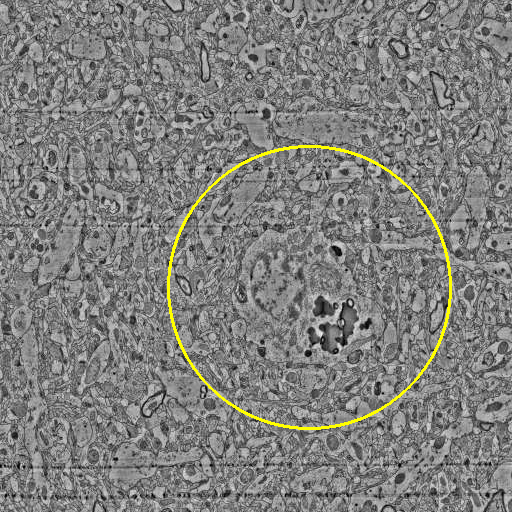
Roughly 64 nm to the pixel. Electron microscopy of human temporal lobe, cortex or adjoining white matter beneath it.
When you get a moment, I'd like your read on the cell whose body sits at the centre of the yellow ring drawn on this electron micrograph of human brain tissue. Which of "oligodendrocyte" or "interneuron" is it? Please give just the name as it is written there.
interneuron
